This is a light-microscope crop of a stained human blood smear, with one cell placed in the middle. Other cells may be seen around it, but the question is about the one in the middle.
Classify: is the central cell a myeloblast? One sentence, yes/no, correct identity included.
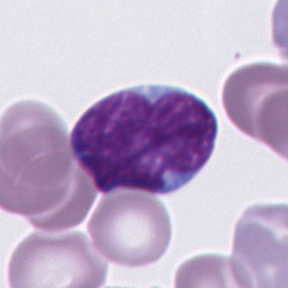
Yes, a myeloblast is what the central cell is.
